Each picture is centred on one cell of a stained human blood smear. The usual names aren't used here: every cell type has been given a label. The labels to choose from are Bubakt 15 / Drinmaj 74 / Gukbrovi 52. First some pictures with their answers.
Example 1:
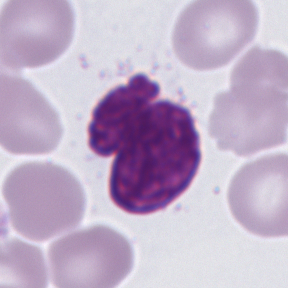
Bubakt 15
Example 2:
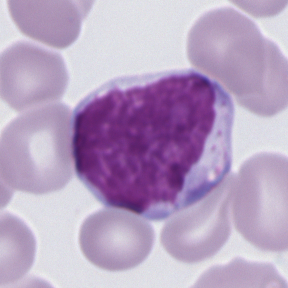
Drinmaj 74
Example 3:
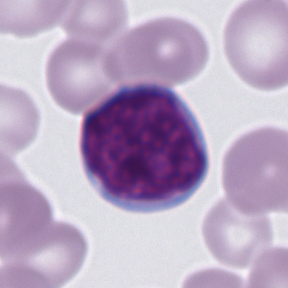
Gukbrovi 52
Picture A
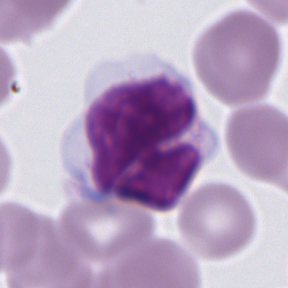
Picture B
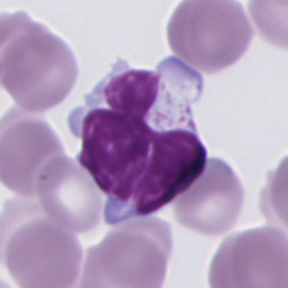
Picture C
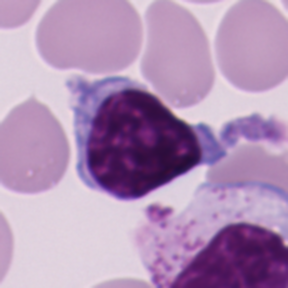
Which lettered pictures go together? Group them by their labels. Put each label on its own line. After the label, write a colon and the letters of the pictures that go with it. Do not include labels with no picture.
Drinmaj 74: A, B
Gukbrovi 52: C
